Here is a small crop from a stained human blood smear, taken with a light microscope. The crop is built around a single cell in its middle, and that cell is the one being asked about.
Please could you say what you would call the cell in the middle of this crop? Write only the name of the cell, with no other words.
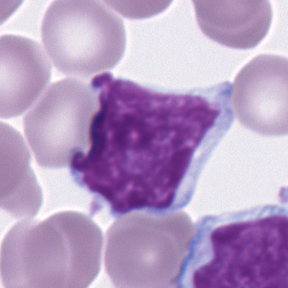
typical lymphocyte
